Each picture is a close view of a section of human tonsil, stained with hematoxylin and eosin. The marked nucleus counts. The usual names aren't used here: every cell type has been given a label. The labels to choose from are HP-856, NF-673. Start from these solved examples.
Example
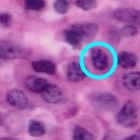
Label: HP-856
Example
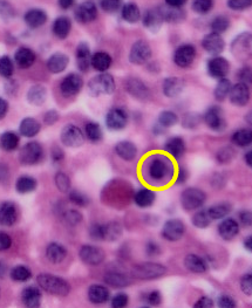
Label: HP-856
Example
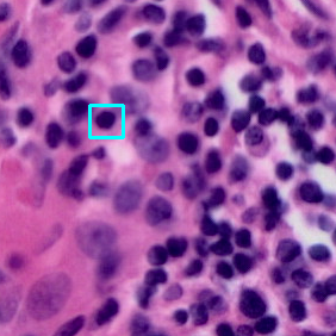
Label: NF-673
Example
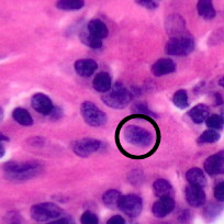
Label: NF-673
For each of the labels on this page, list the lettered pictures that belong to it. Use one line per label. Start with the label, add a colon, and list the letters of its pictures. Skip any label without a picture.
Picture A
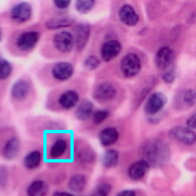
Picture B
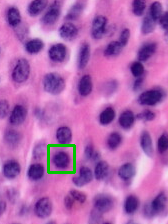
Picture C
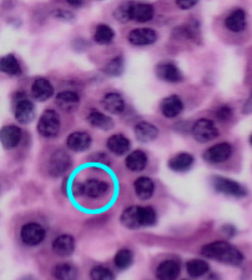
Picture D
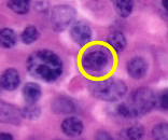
HP-856: A, B, C, D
